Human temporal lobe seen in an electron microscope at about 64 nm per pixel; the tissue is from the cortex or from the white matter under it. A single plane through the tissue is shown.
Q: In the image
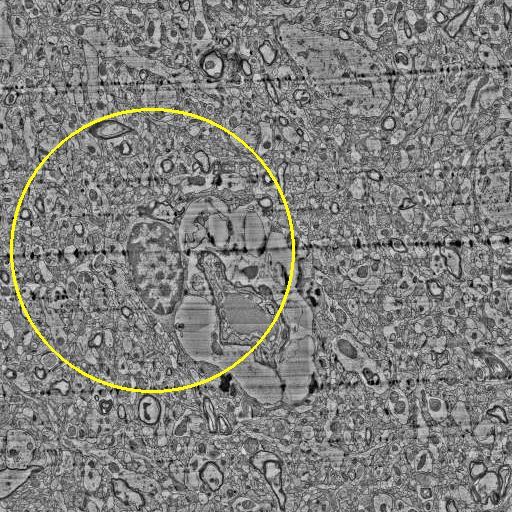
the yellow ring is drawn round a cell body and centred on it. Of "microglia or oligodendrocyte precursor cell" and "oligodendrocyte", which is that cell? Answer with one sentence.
The cell centred in the ring is an oligodendrocyte.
